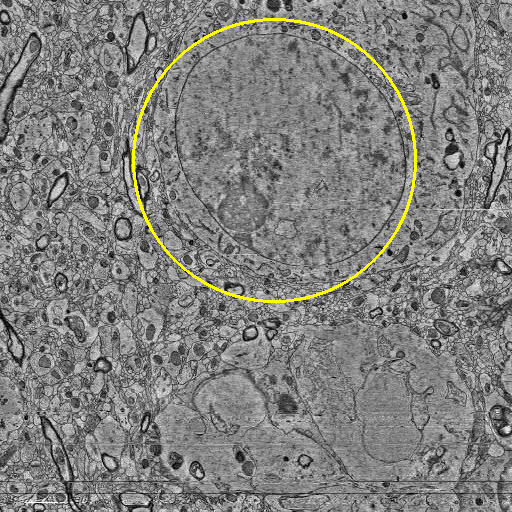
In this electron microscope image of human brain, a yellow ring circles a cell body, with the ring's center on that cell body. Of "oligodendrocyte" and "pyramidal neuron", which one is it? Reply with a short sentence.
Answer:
It is a pyramidal neuron at the center of the ring.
